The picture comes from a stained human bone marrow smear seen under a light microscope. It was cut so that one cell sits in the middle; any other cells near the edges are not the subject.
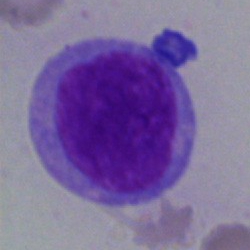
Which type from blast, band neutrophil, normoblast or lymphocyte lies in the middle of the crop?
blast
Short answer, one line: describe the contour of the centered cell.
Smooth all around, the outline has no projections to report.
